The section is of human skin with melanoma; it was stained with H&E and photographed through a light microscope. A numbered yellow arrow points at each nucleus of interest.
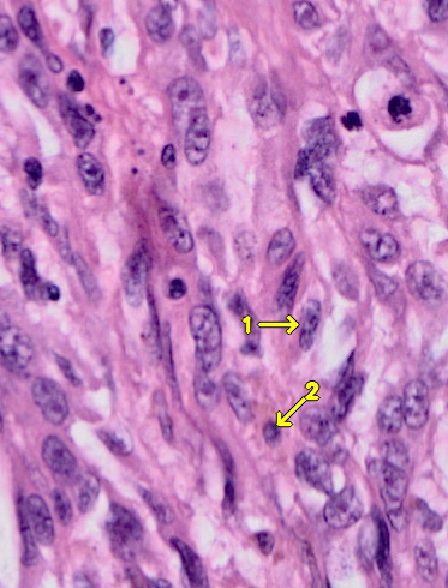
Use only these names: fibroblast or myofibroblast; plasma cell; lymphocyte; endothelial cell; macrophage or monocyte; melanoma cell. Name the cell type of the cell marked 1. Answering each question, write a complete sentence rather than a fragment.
The numeral 1 marks a melanoma cell in this section.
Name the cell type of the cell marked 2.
The identity of cell 2 is that of a macrophage or monocyte.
